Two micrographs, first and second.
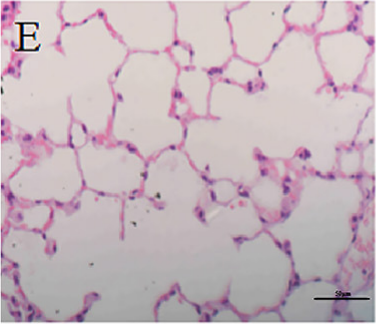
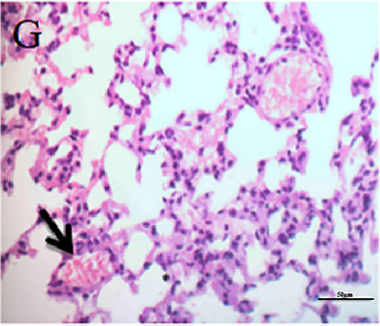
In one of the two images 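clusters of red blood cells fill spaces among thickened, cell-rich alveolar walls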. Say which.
the second image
